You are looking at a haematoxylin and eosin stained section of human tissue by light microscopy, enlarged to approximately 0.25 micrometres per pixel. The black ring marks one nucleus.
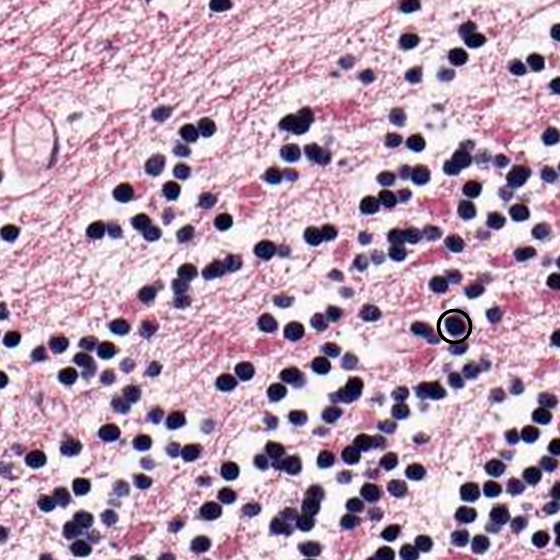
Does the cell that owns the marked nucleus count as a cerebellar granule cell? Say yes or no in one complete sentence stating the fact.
Yes, the marked nucleus is in a cerebellar granule cell.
